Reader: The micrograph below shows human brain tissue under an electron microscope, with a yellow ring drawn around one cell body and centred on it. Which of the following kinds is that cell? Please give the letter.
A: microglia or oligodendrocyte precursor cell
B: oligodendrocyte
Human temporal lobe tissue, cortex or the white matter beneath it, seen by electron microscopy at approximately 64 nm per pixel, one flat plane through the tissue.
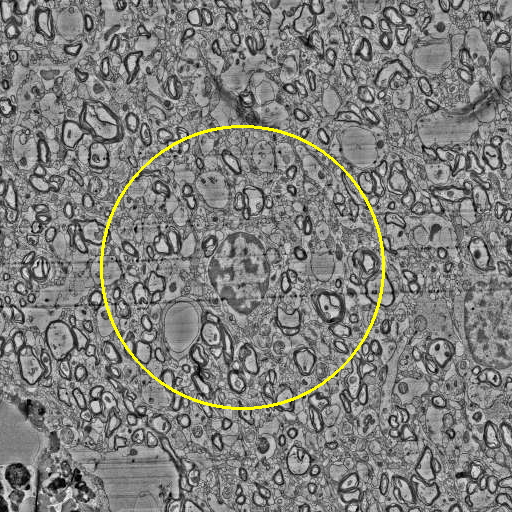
A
